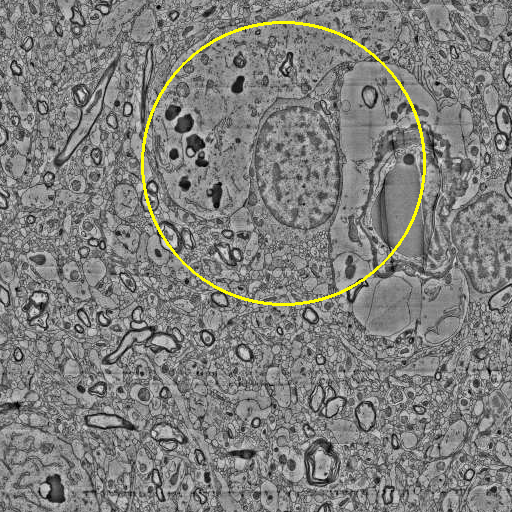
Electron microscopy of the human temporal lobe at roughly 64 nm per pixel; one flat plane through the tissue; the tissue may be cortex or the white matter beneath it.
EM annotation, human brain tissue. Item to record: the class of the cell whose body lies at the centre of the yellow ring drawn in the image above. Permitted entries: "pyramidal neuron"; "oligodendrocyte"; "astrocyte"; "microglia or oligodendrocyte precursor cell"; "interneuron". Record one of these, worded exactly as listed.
oligodendrocyte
